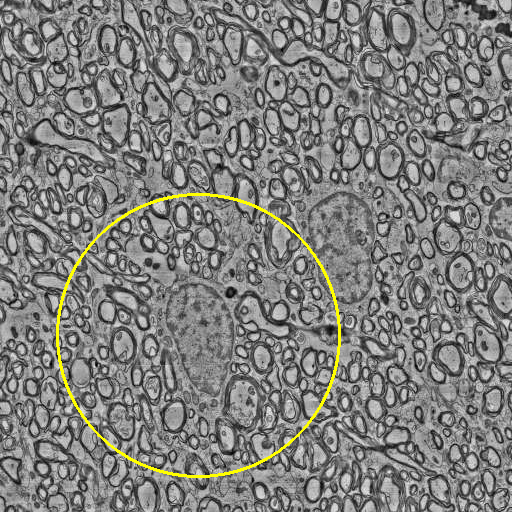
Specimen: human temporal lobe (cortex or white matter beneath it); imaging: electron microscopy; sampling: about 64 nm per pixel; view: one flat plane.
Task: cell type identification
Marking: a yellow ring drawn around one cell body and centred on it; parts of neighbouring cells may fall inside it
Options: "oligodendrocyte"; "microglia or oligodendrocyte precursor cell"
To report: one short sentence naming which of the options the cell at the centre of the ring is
The cell at the centre of the ring is an oligodendrocyte.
